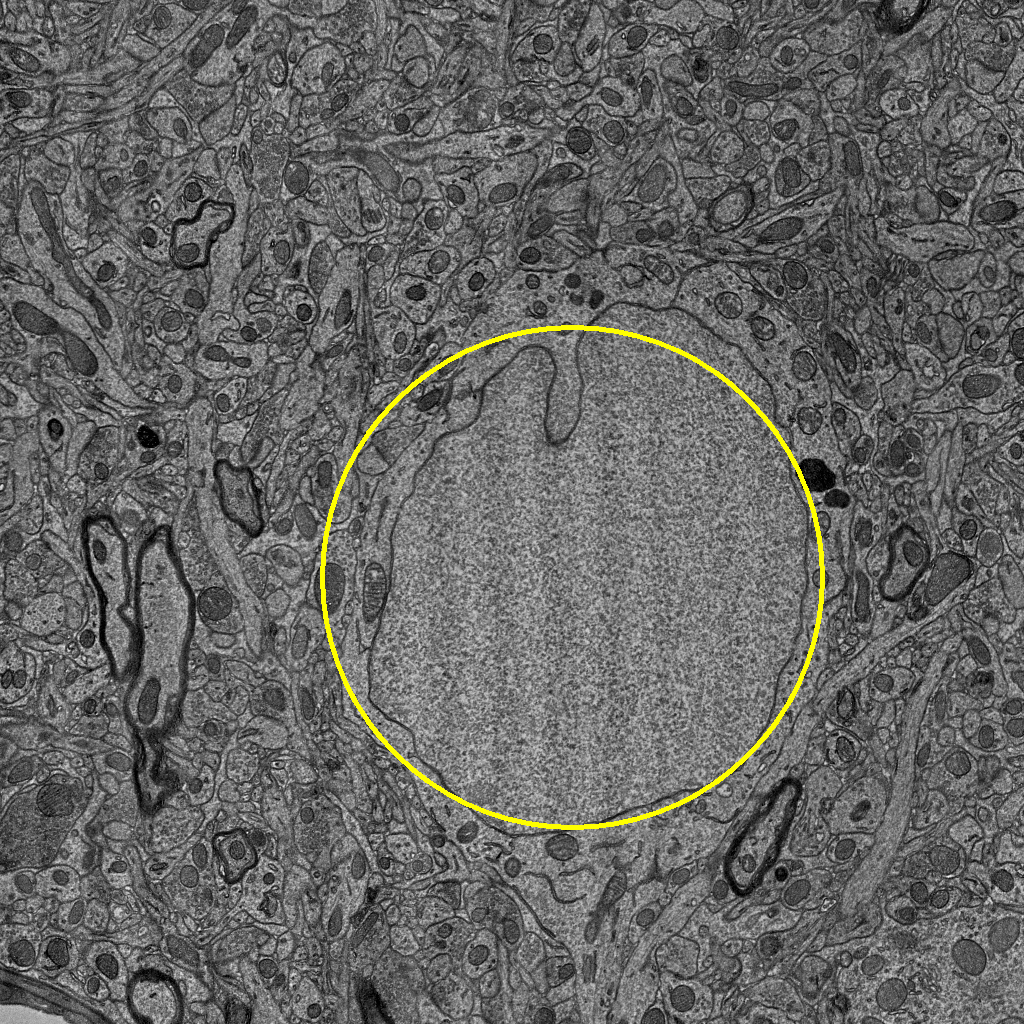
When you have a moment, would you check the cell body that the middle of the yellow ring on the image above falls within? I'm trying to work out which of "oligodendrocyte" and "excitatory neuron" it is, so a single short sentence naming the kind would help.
This cell body belongs to an excitatory neuron.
